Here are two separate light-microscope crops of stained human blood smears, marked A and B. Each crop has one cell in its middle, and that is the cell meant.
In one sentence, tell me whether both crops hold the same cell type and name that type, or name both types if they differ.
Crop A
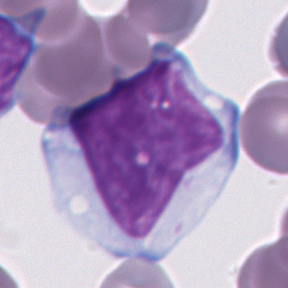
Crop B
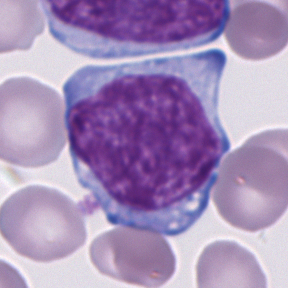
Yes, the middle cells in the two crops are myeloblasts.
